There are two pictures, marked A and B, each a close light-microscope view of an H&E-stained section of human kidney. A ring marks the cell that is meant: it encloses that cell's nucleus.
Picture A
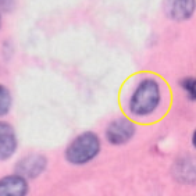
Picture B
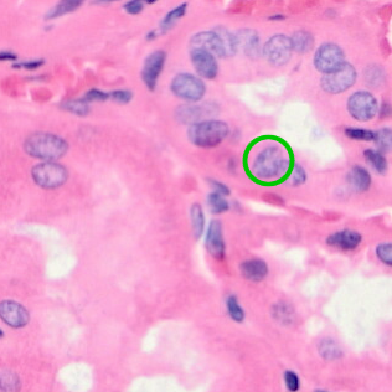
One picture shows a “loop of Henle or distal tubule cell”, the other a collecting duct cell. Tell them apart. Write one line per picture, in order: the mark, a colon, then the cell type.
A: loop of Henle or distal tubule cell
B: collecting duct cell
